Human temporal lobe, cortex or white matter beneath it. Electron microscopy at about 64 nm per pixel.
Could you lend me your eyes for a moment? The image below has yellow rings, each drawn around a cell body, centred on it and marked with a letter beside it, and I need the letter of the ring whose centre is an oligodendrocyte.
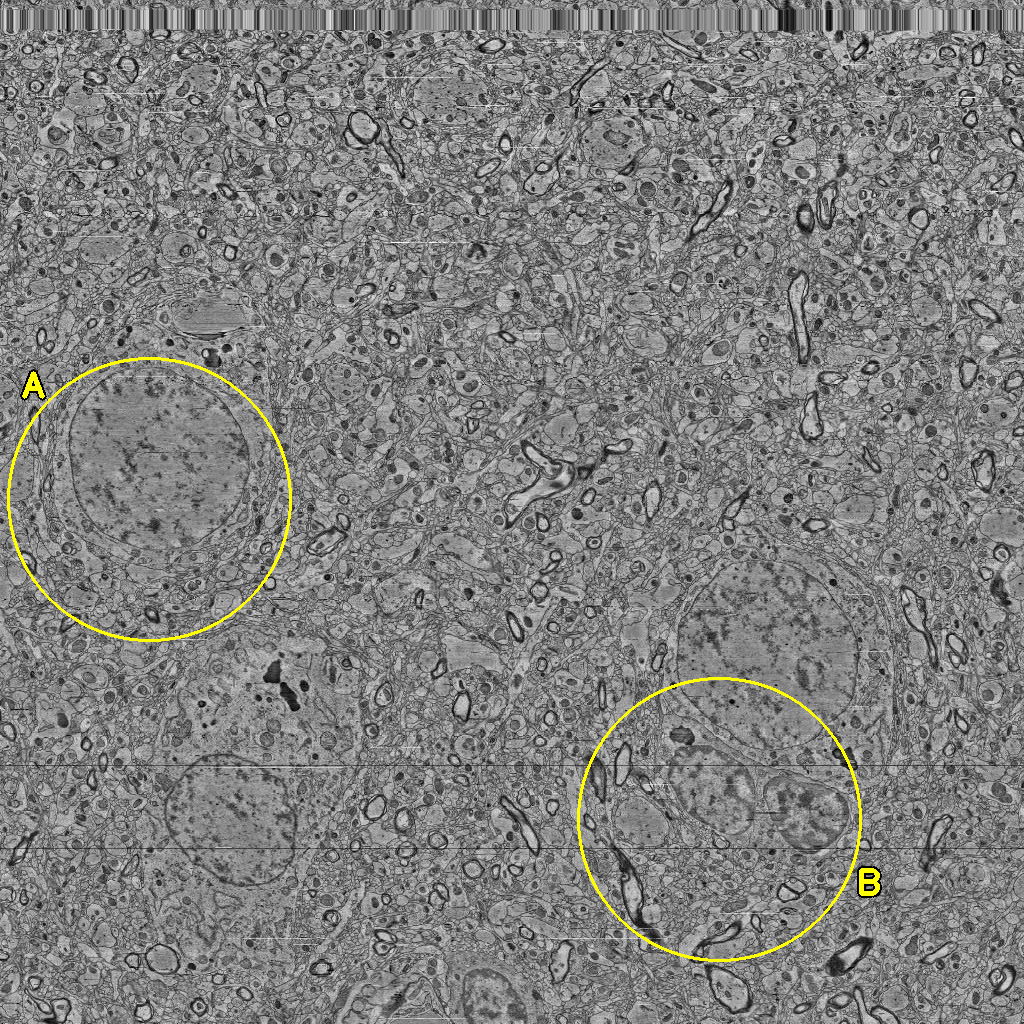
B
